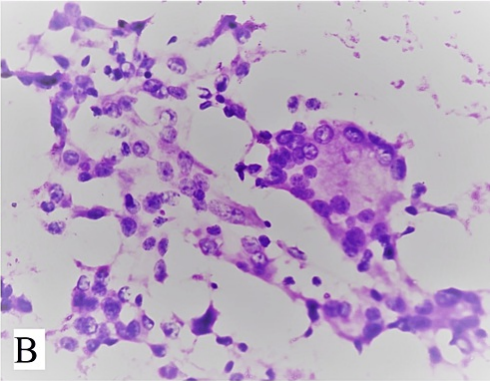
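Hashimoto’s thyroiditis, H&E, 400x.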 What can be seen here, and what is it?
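A multinucleated giant cell lies at the right among a loose network of smaller cells. The giant cell has a broad area of pink cytoplasm with many round purple nuclei crowded along its edge. The surrounding cells have round nuclei and pale pink cytoplasm, many in strands and small groups. Small dark, dense nuclei are scattered among them, and the background holds clear spaces.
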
